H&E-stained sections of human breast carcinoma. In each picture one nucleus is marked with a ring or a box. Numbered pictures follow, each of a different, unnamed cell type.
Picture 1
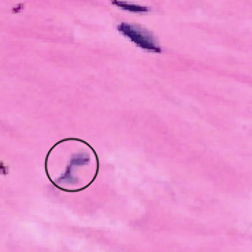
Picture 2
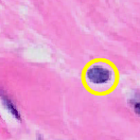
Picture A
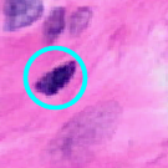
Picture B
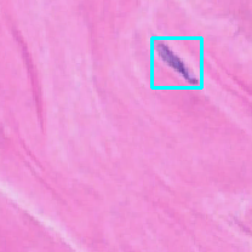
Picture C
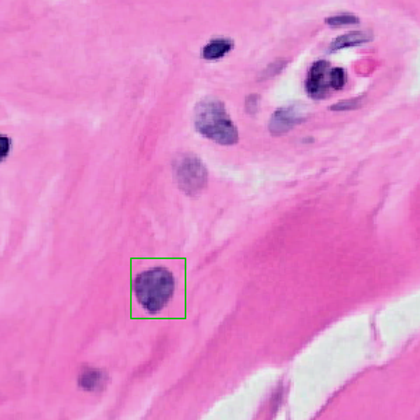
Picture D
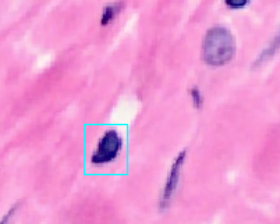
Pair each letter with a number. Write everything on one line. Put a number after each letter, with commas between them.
A 2, B 1, C 2, D 2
